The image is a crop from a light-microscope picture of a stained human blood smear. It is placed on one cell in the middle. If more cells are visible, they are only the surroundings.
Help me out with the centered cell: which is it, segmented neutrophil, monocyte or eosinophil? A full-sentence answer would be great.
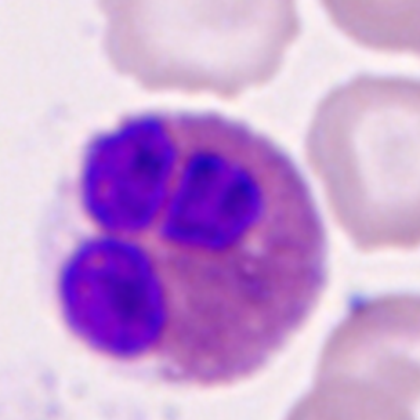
Positioned in the middle of the crop is an eosinophil.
